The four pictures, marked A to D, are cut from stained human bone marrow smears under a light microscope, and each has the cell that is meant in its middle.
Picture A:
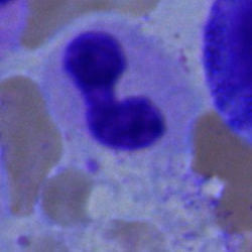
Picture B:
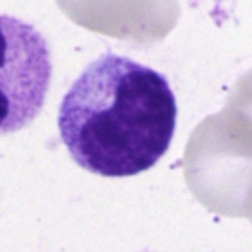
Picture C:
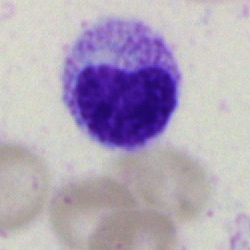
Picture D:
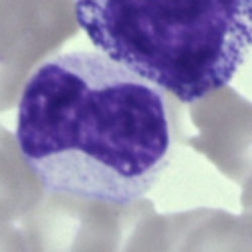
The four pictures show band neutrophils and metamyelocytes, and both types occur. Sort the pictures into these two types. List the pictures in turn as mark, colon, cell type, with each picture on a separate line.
A: band neutrophil
B: metamyelocyte
C: metamyelocyte
D: metamyelocyte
